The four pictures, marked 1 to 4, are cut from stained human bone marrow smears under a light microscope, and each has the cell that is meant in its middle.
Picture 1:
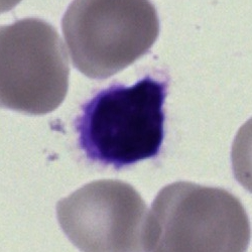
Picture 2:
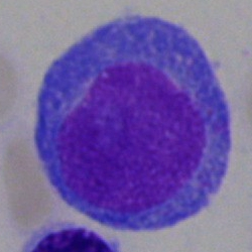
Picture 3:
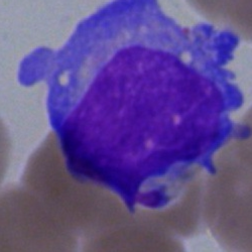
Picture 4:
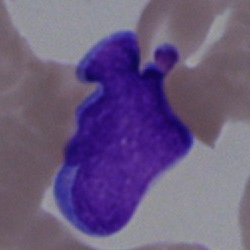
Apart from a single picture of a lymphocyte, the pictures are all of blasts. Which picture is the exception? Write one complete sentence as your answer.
The cell in picture 1 is the lymphocyte.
